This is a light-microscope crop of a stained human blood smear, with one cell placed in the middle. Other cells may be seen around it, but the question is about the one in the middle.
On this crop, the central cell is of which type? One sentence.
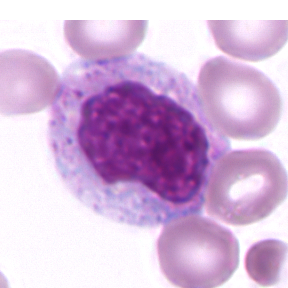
Centred in the crop is a metamyelocyte.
